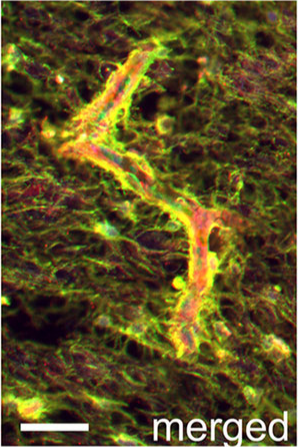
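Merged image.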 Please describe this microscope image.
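The labeling along the vessel wall is dense and appears yellow where red and green overlap. Around it, a thick feltwork of fine labeled fibers runs through the tissue, mostly in one direction. A few small bright cell bodies lie scattered among the fibers.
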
